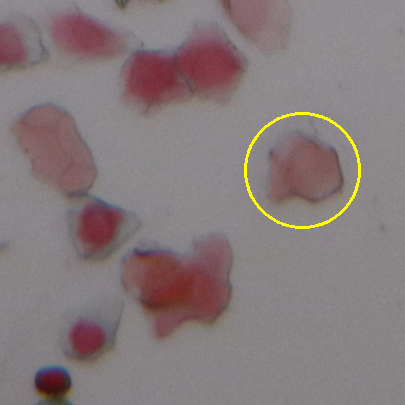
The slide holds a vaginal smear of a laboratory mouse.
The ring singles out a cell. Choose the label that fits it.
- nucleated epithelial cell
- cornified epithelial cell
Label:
cornified epithelial cell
